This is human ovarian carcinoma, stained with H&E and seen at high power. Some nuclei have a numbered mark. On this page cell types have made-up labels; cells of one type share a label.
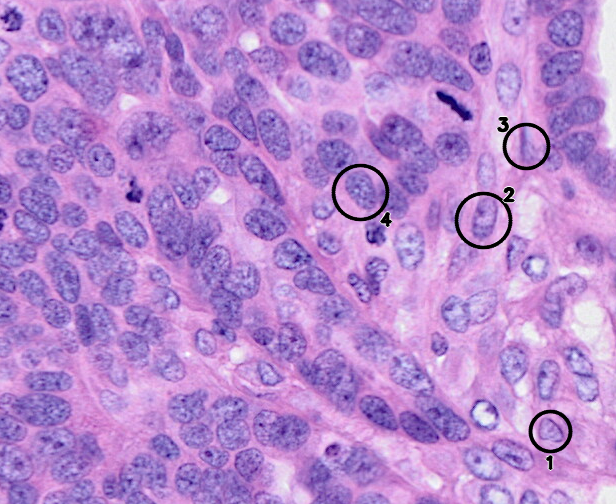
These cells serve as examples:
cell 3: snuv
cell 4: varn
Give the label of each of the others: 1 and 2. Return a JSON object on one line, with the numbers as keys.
{"1": "snuv", "2": "snuv"}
